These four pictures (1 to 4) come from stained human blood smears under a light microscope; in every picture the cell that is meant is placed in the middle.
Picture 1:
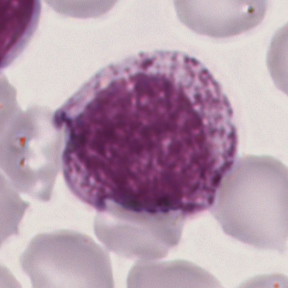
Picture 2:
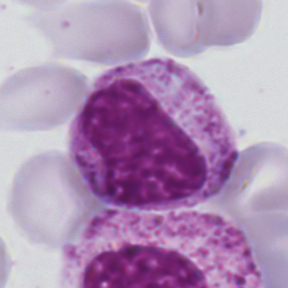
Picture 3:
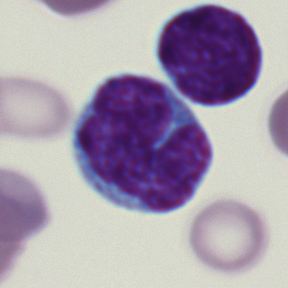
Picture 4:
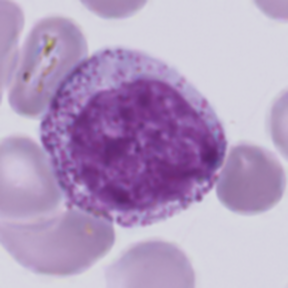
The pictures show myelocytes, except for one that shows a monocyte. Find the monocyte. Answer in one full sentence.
Picture 3 is the one that shows the monocyte.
